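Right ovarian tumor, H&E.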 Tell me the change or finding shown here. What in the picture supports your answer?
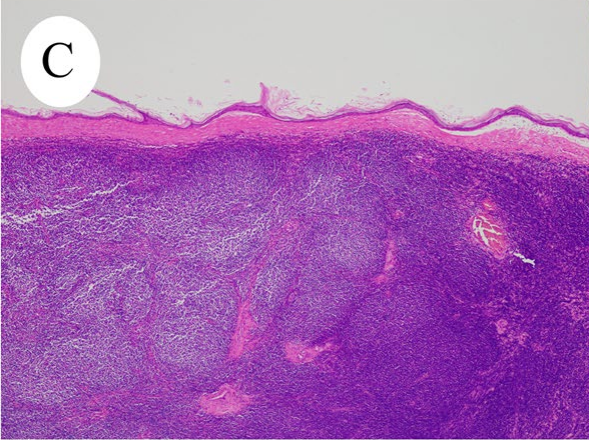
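A dense, dark blue cellular mass fills the tissue beneath a thin surface lining. The cells form sheets and vague nodules with no normal architecture.
Diffusely proliferated abnormal lymphoid cells.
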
